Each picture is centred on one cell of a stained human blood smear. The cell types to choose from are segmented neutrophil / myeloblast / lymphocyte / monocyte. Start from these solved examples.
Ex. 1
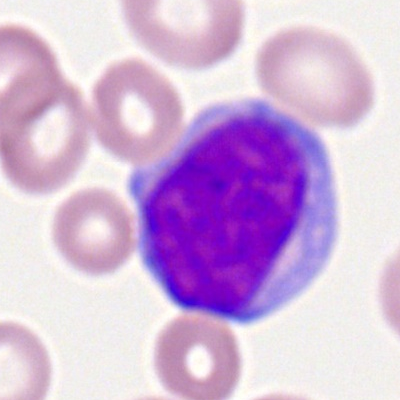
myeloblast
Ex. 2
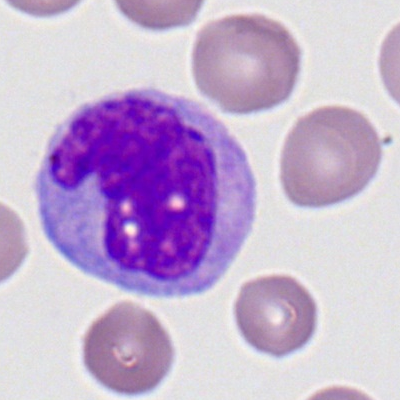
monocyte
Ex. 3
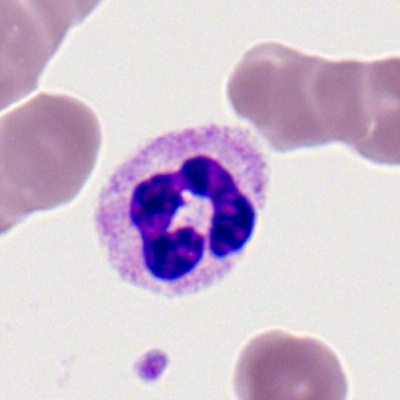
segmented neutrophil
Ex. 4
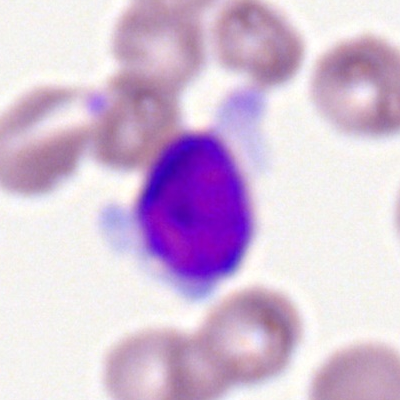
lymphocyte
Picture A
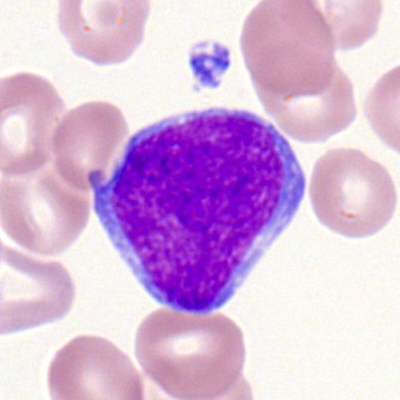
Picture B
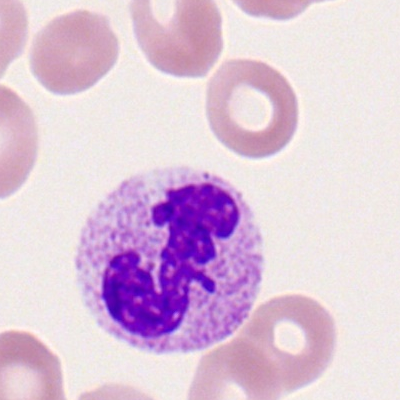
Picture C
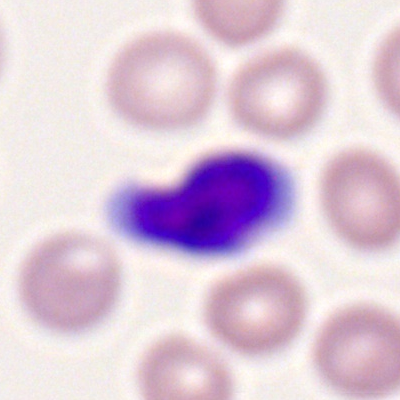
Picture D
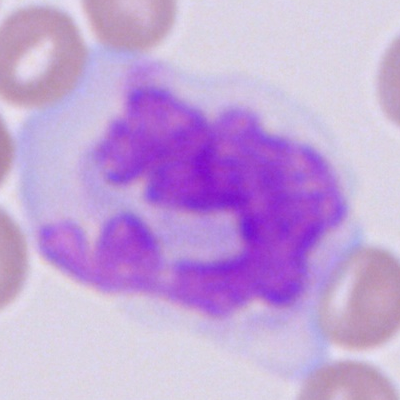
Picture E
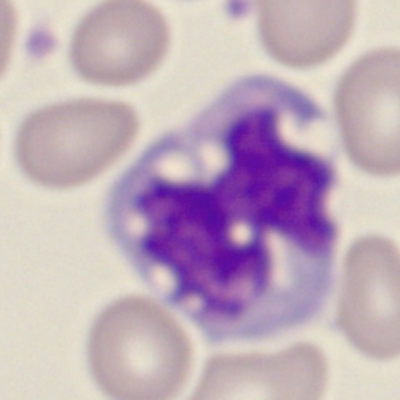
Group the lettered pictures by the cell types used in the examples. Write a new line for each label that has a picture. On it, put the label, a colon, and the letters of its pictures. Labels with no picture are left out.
segmented neutrophil: B
myeloblast: A
lymphocyte: C
monocyte: D, E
